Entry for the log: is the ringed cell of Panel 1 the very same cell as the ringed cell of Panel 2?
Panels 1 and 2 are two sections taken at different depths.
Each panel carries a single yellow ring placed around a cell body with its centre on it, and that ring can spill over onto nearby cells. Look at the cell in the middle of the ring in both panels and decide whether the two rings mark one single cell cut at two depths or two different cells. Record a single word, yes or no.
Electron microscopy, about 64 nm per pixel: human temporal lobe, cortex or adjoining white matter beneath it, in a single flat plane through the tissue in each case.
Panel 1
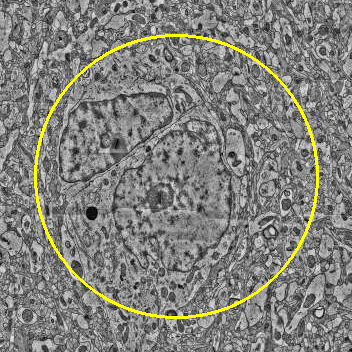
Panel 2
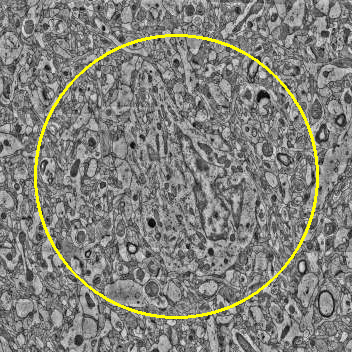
no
